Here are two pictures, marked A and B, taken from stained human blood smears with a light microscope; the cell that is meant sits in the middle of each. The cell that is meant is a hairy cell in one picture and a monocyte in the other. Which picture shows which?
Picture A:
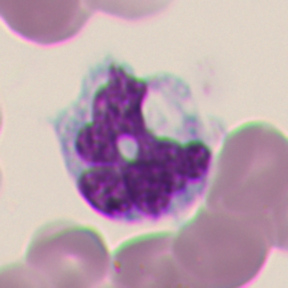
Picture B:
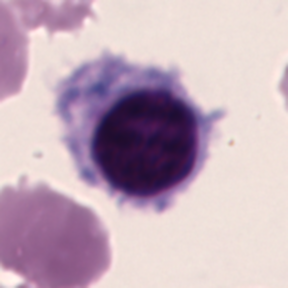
A: monocyte
B: hairy cell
